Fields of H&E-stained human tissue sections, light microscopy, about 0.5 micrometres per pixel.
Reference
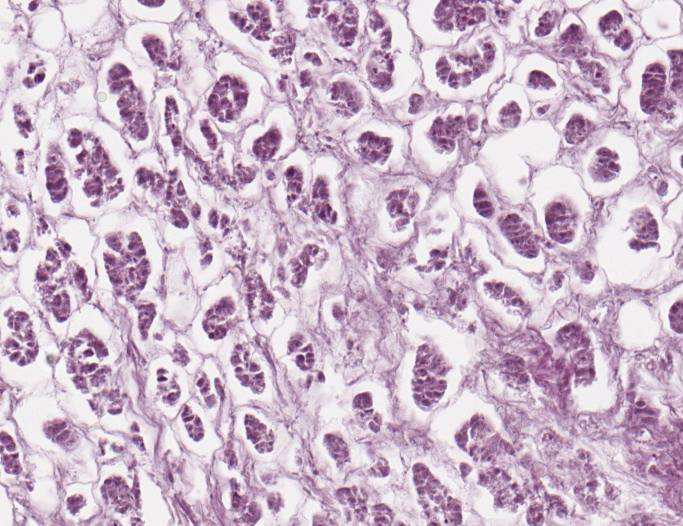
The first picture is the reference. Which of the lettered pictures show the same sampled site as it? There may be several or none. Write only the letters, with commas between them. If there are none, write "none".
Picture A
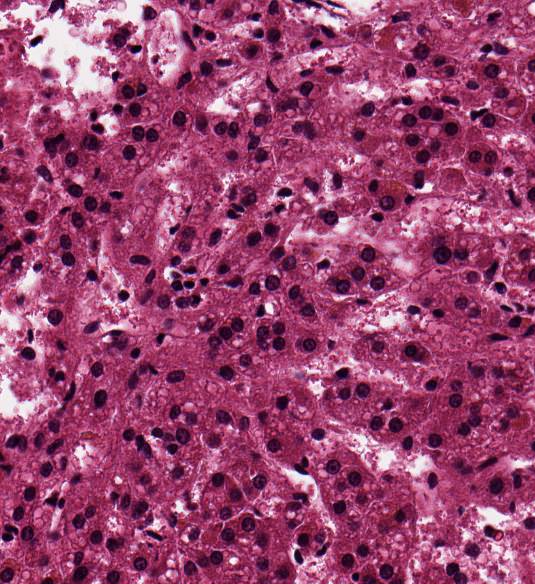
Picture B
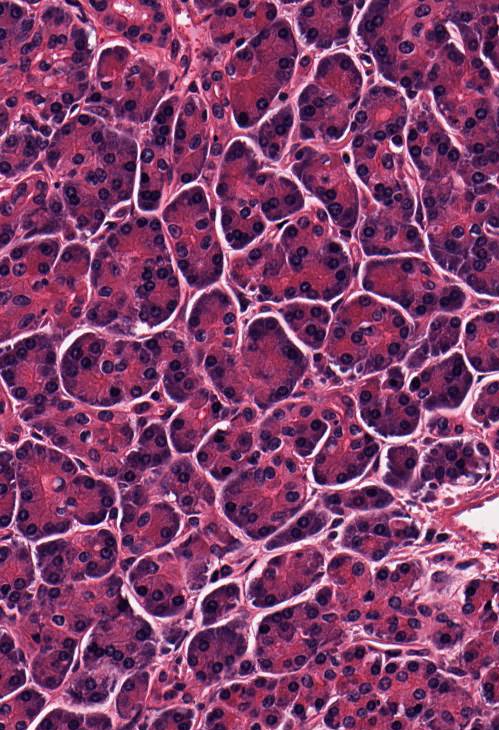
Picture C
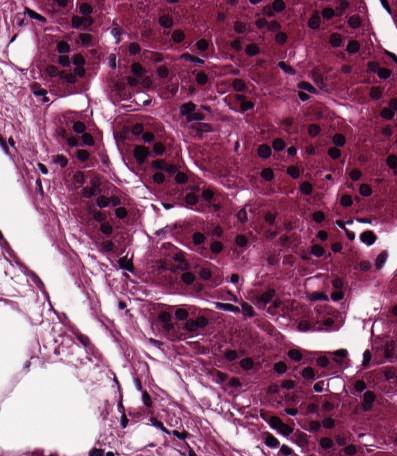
B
